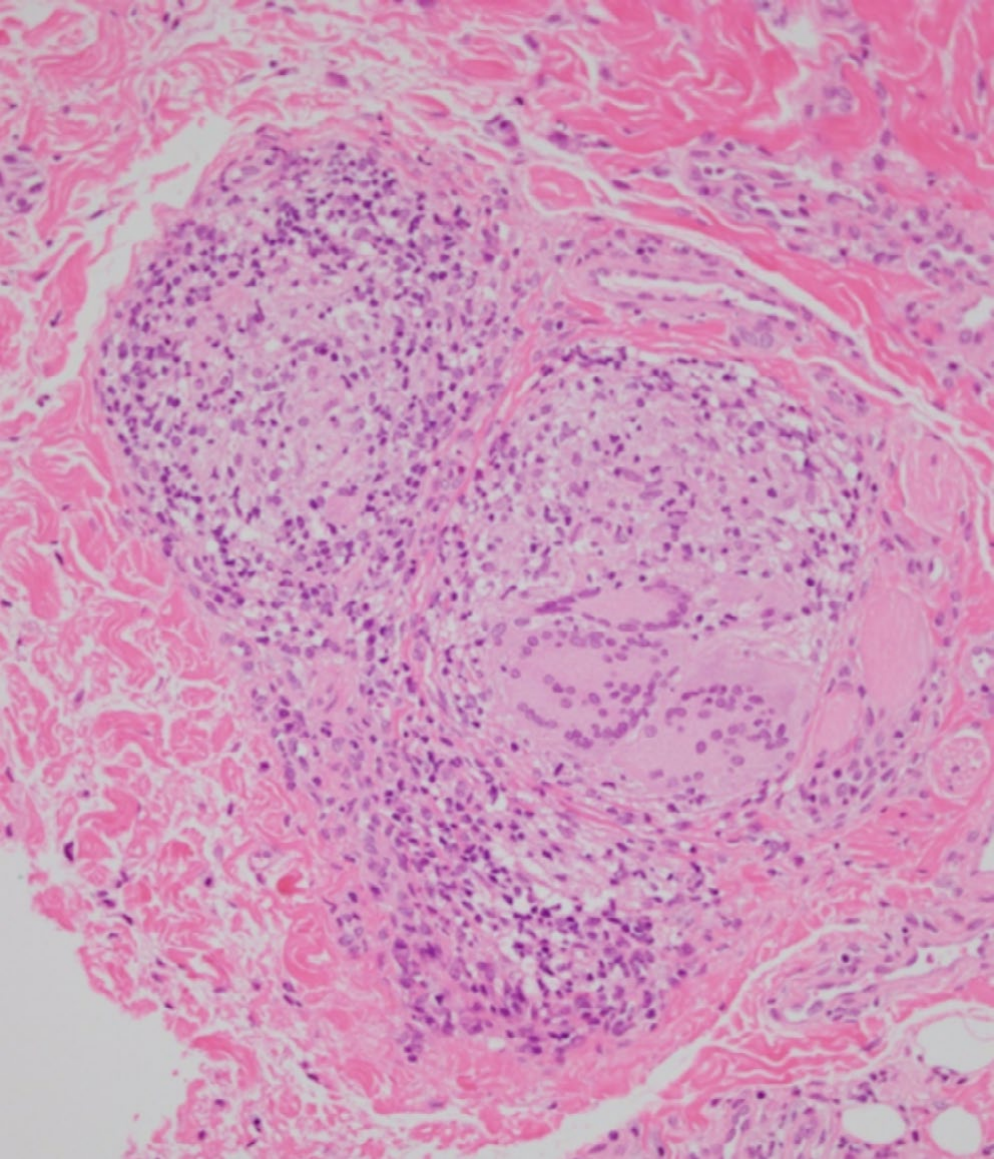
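Two adjoining rounded nodules lie within bundles of pink-staining collagen. Their centres hold cells with abundant pale pink cytoplasm and oval, lightly stained nuclei. In one nodule a large multinucleated cell holds many nuclei arranged along its edges. Around and among the pale cells are many small cells with dark, round purple nuclei and very little cytoplasm, densest at the periphery of the nodules. No necrosis is evident in the centres of the nodules.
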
